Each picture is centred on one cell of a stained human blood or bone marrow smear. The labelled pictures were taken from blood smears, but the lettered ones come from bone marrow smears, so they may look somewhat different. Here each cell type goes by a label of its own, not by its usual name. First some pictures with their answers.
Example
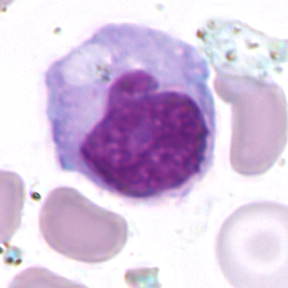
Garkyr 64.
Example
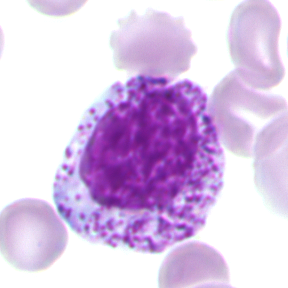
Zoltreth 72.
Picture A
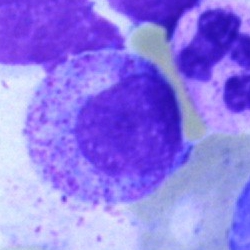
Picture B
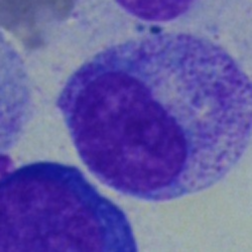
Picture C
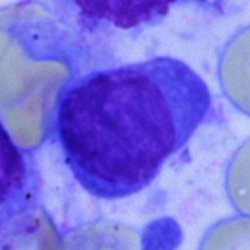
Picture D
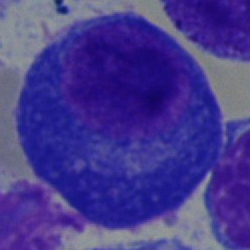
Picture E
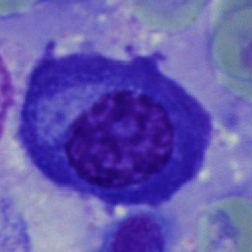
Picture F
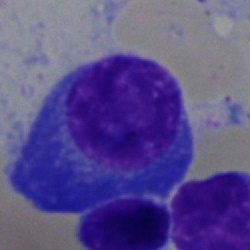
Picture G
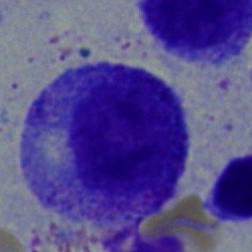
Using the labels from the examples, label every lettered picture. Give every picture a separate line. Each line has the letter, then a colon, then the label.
A: Zoltreth 72.
B: Zoltreth 72.
C: Garkyr 64.
D: Garkyr 64.
E: Garkyr 64.
F: Garkyr 64.
G: Zoltreth 72.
